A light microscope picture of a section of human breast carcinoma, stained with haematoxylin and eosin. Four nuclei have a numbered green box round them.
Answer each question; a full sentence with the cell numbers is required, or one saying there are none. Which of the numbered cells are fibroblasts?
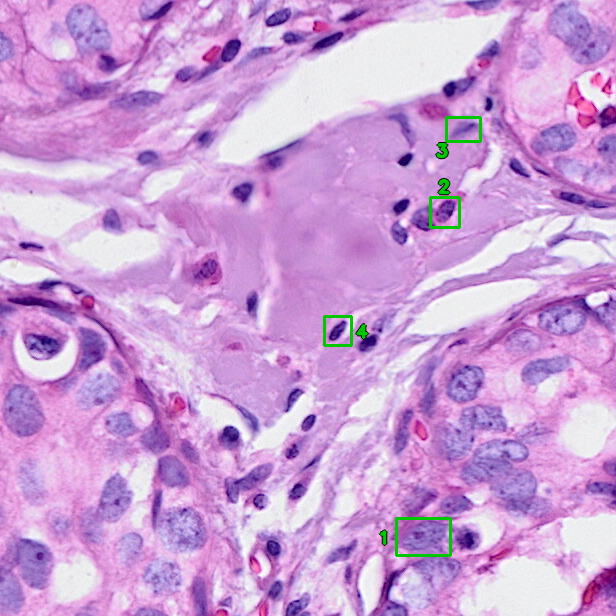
Mind that only cell 3 is a fibroblast, none of the rest.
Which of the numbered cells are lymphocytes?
The cell bearing the number 4 is a lymphocyte, unlike the rest of the numbered cells.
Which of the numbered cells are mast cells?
Cell 2 alone, of all the numbered cells, is a mast cell.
